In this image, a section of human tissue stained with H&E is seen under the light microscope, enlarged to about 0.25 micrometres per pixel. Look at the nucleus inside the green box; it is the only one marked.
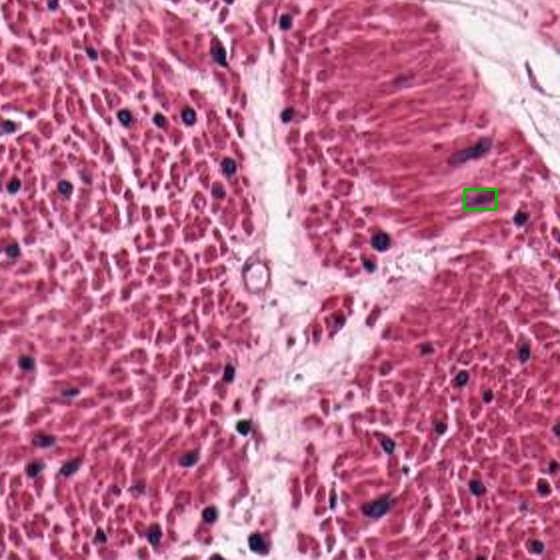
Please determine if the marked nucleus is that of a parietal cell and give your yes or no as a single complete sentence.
No, the nucleus that is marked is not part of a parietal cell.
